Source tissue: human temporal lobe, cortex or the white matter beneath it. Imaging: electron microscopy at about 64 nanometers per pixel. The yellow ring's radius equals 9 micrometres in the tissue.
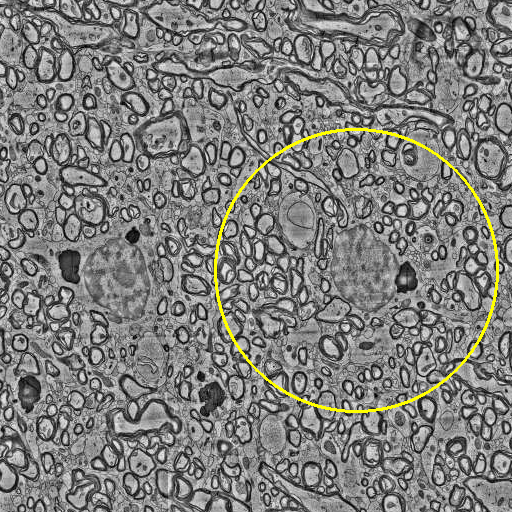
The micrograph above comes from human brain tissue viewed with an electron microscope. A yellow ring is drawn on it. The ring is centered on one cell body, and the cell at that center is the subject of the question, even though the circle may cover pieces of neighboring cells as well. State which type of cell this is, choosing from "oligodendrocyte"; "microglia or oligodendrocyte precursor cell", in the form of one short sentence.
The cell the ring is centered on is an oligodendrocyte.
